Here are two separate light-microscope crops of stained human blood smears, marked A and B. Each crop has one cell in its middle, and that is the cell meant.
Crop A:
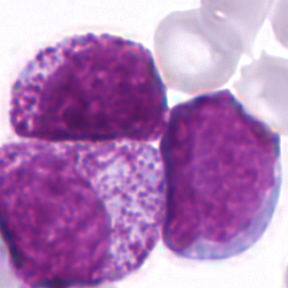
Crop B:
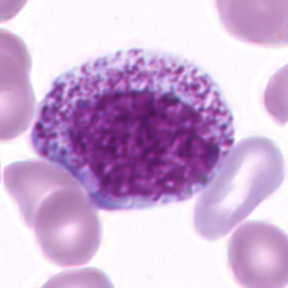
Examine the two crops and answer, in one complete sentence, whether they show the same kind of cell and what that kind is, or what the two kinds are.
Yes, the central cells, in both crops, are myelocytes.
